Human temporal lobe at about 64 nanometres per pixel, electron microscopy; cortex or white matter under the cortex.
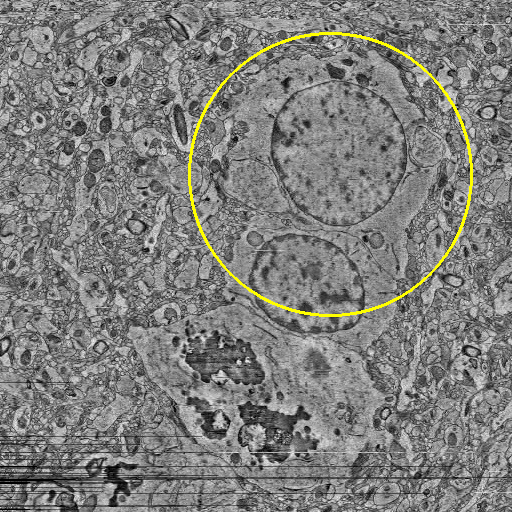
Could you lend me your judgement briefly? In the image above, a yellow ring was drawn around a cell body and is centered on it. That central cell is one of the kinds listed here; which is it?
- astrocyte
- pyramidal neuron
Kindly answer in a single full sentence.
Going by the list, an astrocyte is the kind at the ring's center in the picture.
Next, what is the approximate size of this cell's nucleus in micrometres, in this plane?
In this plane, approximately 9 micrometres across.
